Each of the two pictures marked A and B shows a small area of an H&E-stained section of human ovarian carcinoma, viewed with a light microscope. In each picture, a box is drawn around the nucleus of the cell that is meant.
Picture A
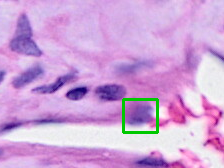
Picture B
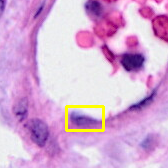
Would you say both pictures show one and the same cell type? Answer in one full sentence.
Yes, both cells are endothelial cells.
